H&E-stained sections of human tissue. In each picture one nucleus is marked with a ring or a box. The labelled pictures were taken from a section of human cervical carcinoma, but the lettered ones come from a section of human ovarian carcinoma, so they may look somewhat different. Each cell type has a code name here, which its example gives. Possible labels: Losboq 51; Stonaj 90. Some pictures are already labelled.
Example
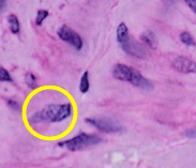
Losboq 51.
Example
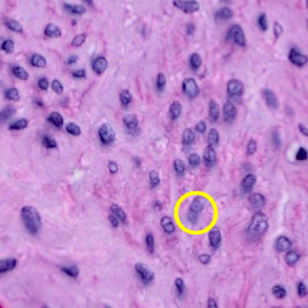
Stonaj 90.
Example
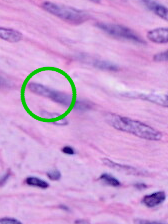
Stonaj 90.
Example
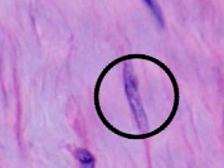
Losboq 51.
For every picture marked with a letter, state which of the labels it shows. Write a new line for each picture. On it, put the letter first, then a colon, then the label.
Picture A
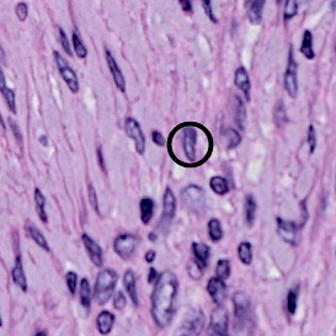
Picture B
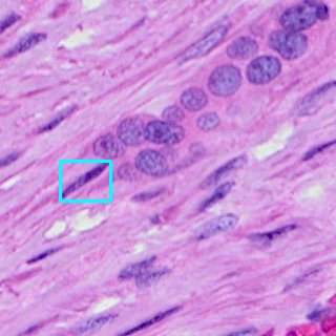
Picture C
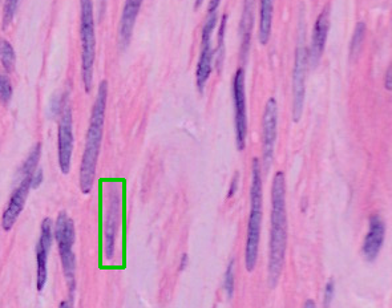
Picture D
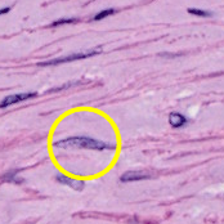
A: Losboq 51.
B: Losboq 51.
C: Stonaj 90.
D: Losboq 51.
